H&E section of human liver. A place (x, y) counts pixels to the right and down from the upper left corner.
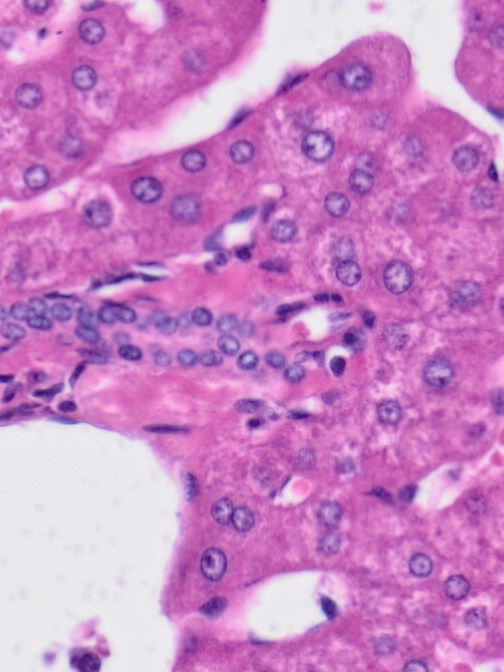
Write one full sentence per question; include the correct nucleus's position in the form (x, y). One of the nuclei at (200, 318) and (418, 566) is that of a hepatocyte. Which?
Identify the nucleus at (418, 566) as the one belonging to a hepatocyte.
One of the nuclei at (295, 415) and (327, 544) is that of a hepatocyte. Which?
The nucleus at (327, 544) is assigned to a hepatocyte.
